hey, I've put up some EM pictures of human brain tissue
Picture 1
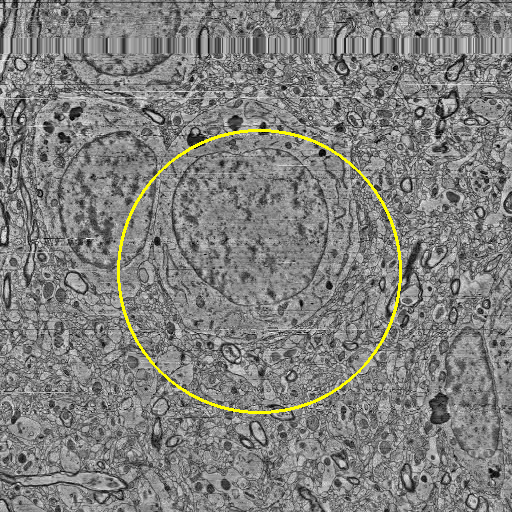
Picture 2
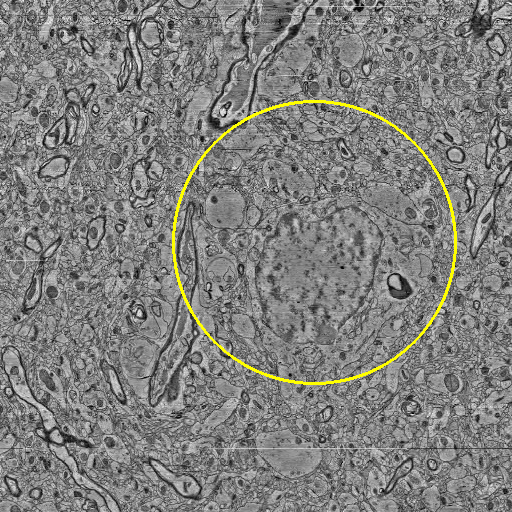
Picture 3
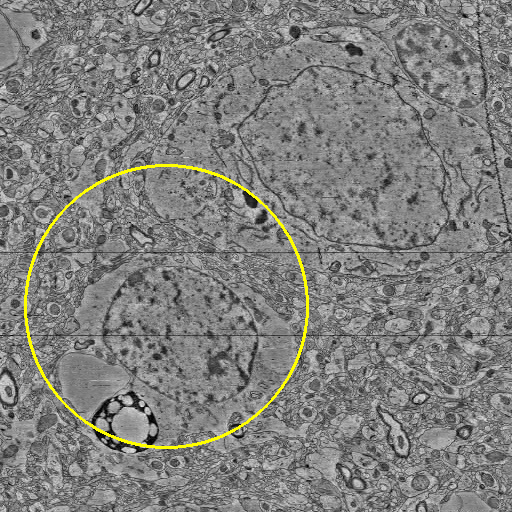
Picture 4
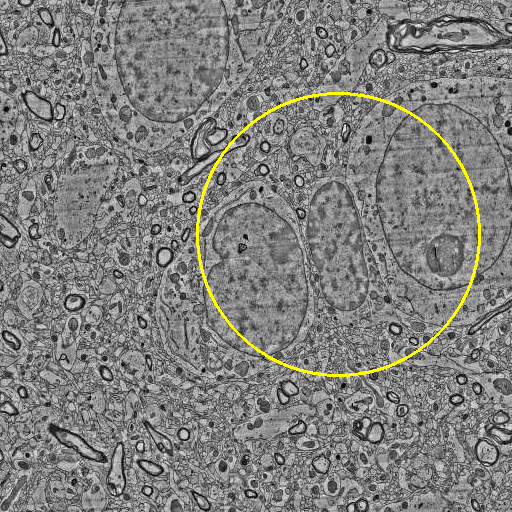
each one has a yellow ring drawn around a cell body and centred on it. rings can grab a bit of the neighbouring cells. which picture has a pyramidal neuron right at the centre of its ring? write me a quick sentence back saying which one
It's Picture 1.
